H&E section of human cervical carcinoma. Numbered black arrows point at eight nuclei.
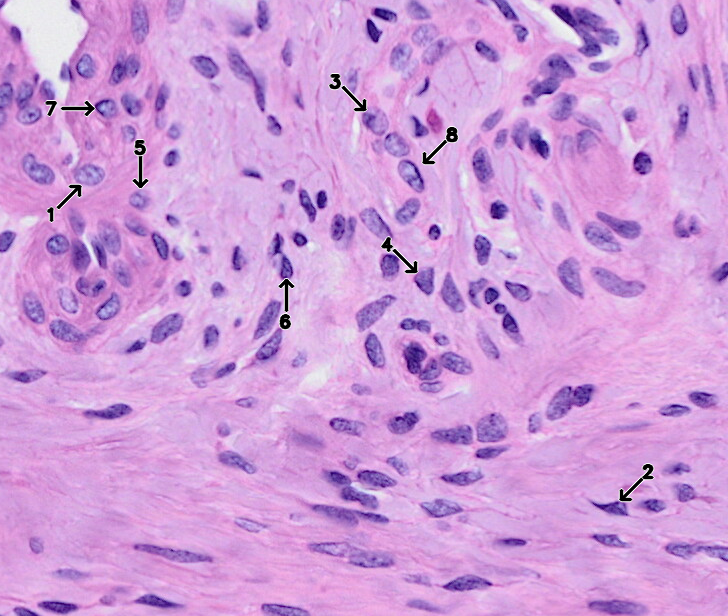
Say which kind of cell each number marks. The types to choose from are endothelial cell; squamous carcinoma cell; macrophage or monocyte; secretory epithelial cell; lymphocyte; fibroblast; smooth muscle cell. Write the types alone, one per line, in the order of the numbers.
smooth muscle cell
fibroblast
endothelial cell
fibroblast
smooth muscle cell
fibroblast
smooth muscle cell
endothelial cell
